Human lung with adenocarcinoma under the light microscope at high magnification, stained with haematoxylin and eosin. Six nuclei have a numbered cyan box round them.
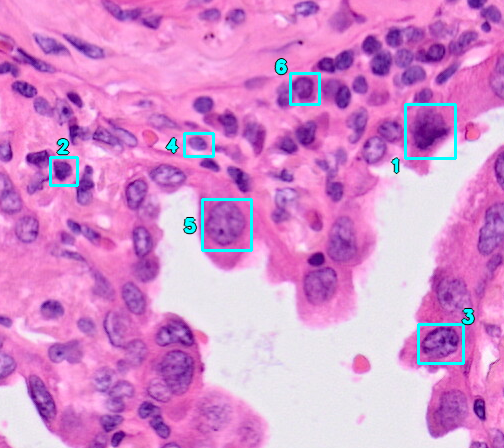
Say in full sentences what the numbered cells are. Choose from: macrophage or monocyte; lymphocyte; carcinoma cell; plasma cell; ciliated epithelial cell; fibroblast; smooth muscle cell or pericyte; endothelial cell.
Cell 1 is a carcinoma cell, cell 2 is a lymphocyte, cell 3 is a carcinoma cell, cell 4 is a lymphocyte, cell 5 is a carcinoma cell and cell 6 is a plasma cell.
